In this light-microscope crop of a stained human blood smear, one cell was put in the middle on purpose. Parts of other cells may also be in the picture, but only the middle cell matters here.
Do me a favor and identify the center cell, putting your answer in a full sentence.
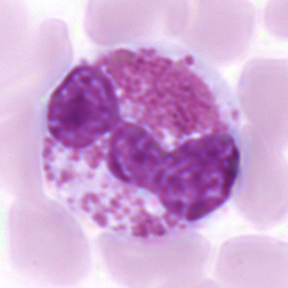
The cell found in the middle of this crop is an eosinophil.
